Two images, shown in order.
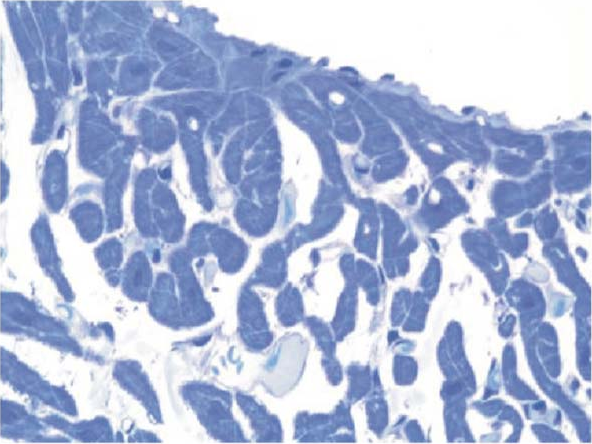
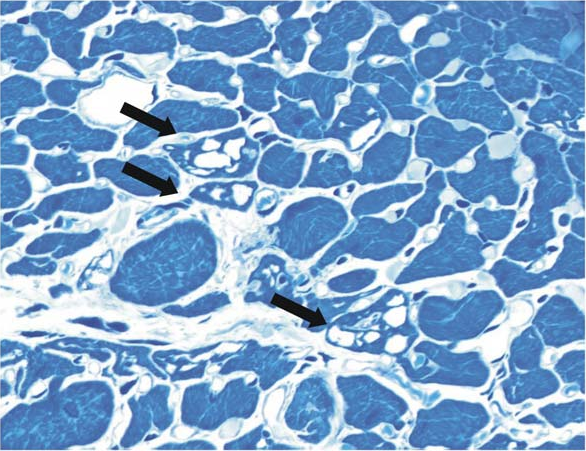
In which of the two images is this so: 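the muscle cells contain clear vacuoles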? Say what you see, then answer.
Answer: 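The second image. Second image: several fibres contain clusters of clear round spaces within their cytoplasm. First image: the fibres are evenly stained without clusters of clear spaces.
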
